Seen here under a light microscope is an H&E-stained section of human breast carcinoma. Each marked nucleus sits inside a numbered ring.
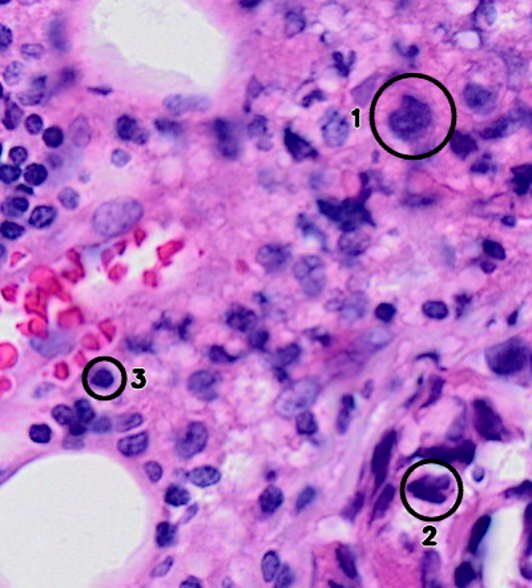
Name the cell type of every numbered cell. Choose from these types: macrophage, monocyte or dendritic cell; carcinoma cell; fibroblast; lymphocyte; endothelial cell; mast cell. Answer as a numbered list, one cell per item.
1. carcinoma cell
2. carcinoma cell
3. lymphocyte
